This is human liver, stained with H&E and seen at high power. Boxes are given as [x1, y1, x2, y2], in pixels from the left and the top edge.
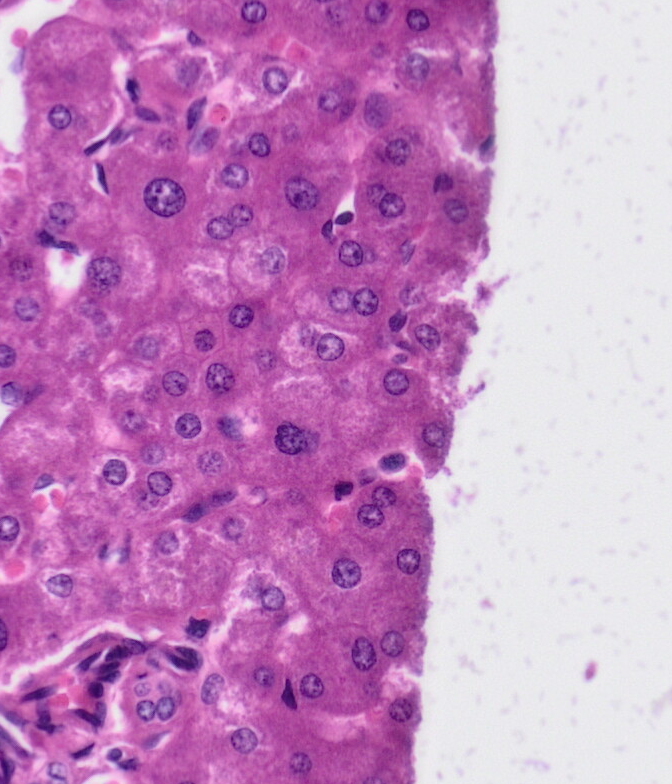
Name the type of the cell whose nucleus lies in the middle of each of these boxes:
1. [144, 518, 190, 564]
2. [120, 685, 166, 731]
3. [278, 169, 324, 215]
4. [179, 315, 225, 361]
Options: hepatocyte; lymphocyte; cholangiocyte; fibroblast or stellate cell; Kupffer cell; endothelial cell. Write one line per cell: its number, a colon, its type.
1: hepatocyte
2: cholangiocyte
3: hepatocyte
4: hepatocyte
